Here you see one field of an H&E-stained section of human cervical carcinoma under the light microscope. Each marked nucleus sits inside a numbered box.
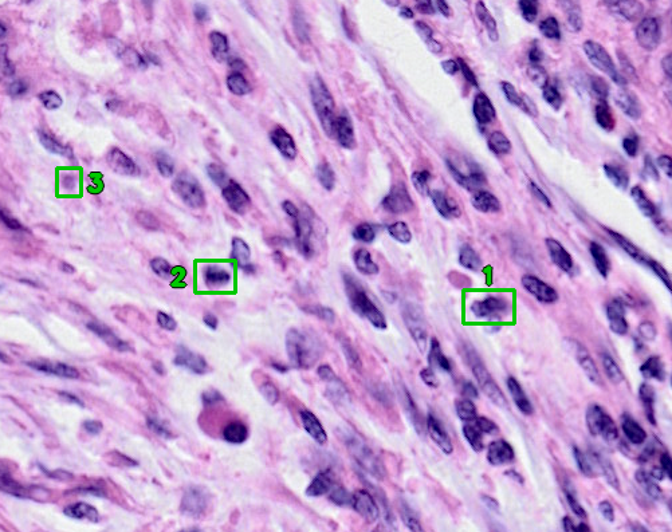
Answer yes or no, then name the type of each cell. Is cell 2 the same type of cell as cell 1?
Yes, cells number 2 and number 1 are both lymphocytes.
